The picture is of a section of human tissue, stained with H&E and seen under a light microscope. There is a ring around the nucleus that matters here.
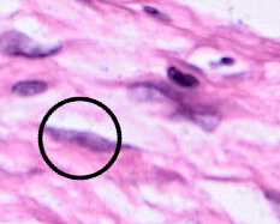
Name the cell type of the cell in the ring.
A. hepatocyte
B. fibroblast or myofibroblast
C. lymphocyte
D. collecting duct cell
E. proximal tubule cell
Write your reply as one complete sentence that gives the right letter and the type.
That the cell in the ring is a fibroblast or myofibroblast makes option B the correct choice.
